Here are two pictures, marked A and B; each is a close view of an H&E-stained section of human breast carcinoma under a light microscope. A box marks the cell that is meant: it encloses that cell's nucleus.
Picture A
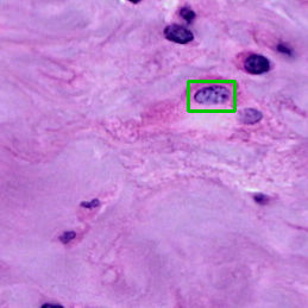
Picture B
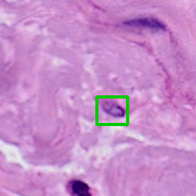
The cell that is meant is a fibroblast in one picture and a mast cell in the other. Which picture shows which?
A: mast cell
B: fibroblast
